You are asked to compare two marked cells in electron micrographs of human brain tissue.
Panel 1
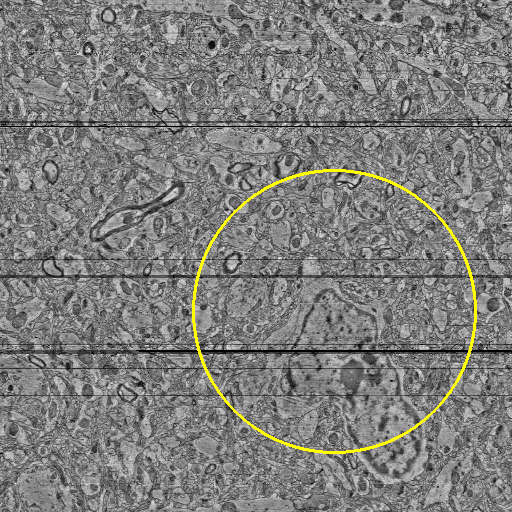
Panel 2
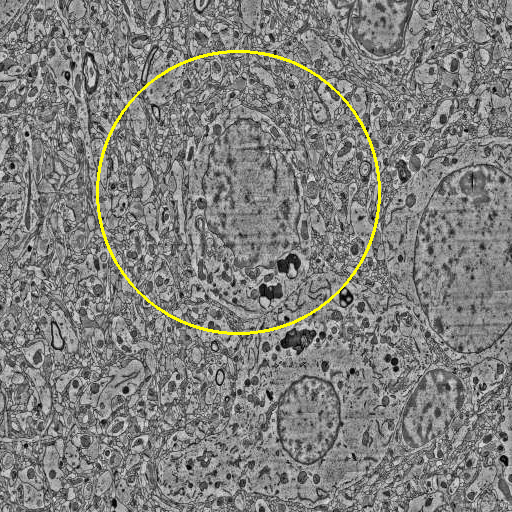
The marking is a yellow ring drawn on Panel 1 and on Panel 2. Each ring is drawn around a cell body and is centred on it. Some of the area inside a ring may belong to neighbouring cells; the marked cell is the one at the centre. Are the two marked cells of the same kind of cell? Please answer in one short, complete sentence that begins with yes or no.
No, the two marked cells are of two kinds.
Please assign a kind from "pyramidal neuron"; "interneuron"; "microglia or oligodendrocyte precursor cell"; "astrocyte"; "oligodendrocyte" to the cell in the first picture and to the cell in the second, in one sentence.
In the first picture we have a microglial cell or oligodendrocyte precursor cell, and in the second, an interneuron.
